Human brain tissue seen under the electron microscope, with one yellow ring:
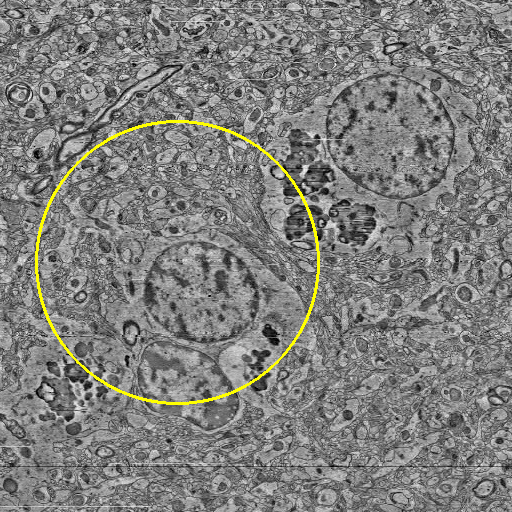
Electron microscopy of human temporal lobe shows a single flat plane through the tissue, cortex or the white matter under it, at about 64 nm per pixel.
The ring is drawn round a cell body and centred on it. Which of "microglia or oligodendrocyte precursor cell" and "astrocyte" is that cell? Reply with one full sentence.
The picture shows an astrocyte at the very centre of the yellow ring.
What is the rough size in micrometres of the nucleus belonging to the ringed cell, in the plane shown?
Roughly 7 micrometres across, measured in this plane.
